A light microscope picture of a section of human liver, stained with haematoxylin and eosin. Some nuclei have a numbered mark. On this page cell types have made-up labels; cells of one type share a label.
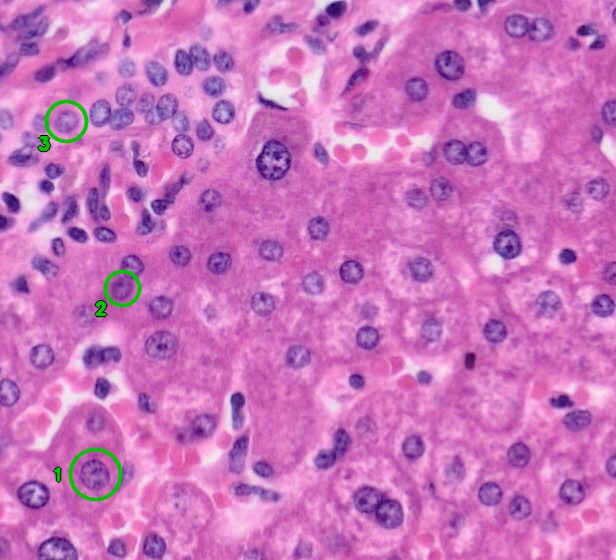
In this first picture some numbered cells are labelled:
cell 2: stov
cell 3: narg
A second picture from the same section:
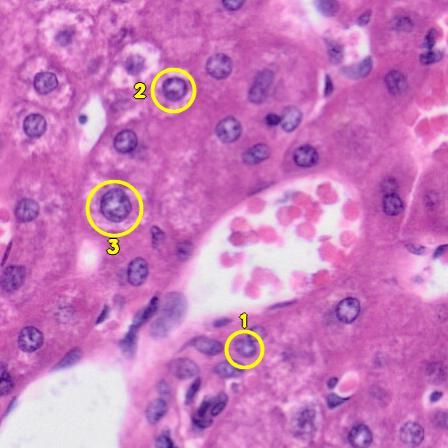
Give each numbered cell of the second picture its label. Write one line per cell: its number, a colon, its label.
1: narg
2: stov
3: stov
